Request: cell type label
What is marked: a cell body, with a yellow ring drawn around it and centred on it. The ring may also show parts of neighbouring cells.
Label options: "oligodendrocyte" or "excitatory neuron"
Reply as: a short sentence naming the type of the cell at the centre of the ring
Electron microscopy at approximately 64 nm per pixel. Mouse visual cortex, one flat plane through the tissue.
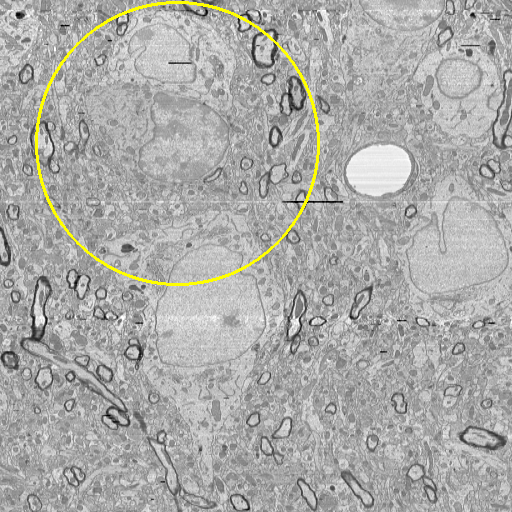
The marked cell body is that of an oligodendrocyte.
